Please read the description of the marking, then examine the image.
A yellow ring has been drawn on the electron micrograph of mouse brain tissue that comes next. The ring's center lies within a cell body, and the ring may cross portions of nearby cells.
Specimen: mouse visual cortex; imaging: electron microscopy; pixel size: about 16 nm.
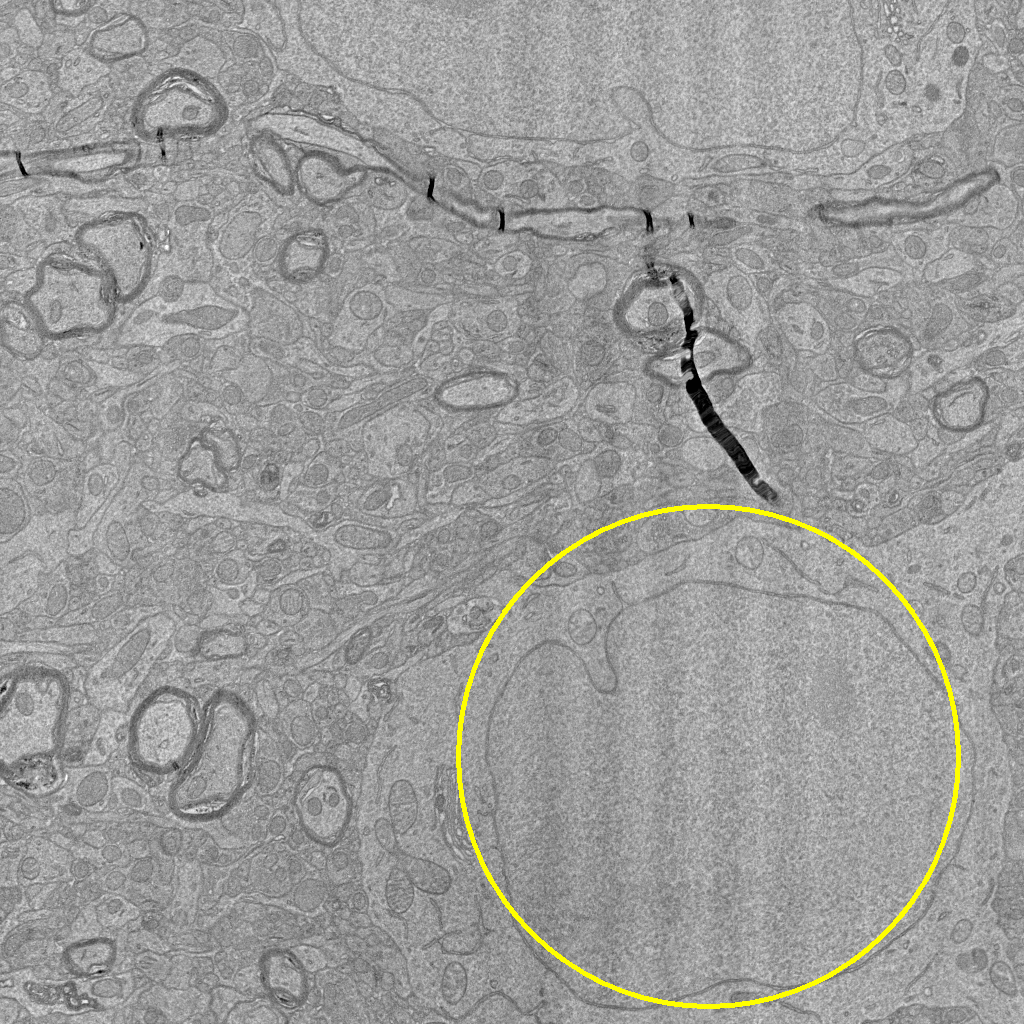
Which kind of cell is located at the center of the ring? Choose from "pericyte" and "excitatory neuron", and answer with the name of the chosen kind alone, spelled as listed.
excitatory neuron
